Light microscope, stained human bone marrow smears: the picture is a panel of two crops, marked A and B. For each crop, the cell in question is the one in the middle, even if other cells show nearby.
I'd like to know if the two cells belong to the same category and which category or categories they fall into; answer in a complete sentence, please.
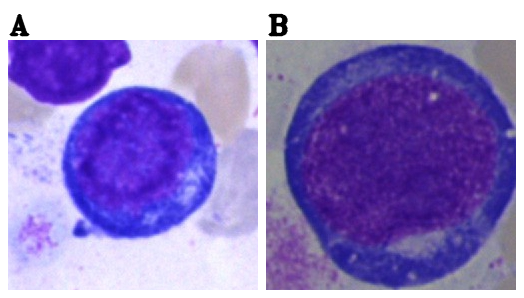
Yes, both of the crops show proerythroblasts.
